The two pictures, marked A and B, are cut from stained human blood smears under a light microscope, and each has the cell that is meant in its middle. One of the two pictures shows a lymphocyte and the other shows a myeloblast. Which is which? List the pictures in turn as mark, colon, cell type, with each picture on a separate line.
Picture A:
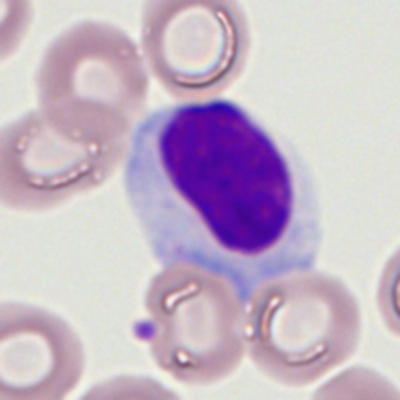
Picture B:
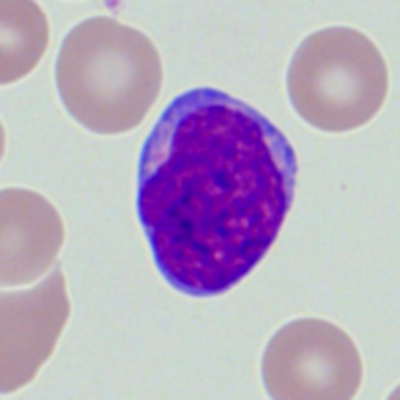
A: lymphocyte
B: myeloblast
